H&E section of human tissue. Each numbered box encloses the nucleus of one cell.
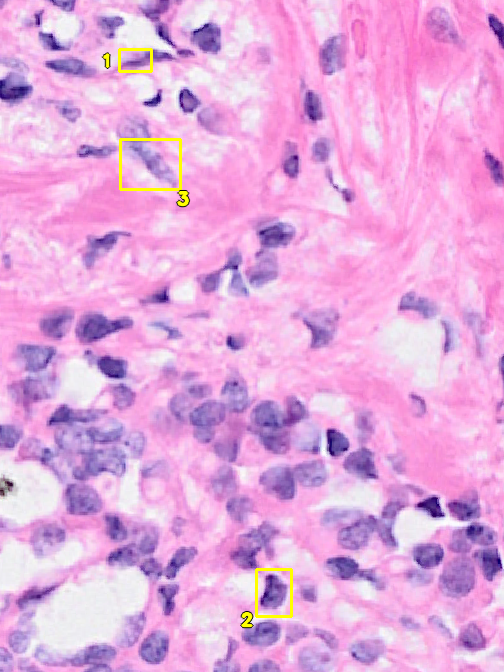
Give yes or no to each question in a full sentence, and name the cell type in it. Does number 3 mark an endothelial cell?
No, the cell that carries number 3 is a fibroblast, not an endothelial cell.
